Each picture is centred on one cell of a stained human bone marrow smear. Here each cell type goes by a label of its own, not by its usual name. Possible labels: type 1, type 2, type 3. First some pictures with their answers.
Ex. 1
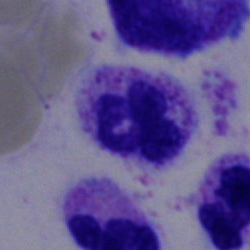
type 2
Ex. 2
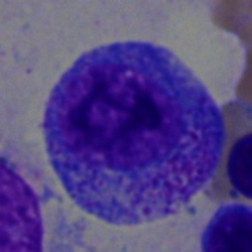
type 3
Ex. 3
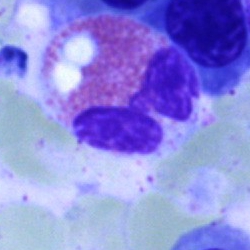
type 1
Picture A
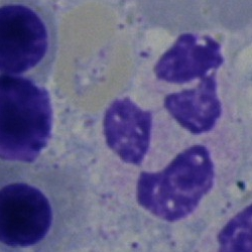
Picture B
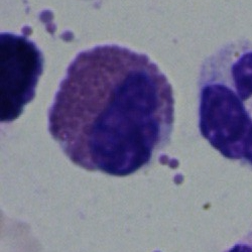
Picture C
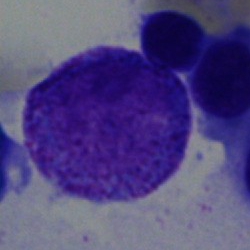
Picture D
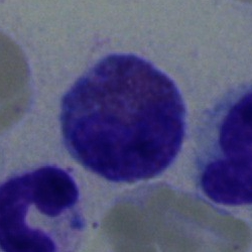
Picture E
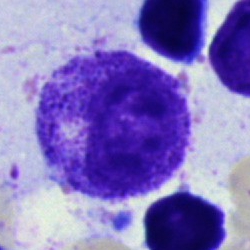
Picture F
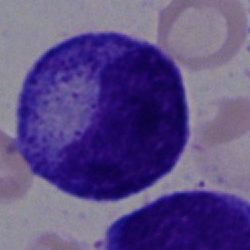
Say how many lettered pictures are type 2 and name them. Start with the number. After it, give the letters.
Count: 1 (A)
